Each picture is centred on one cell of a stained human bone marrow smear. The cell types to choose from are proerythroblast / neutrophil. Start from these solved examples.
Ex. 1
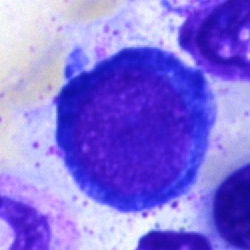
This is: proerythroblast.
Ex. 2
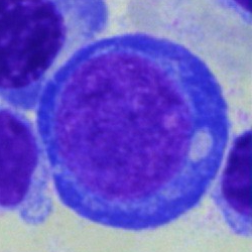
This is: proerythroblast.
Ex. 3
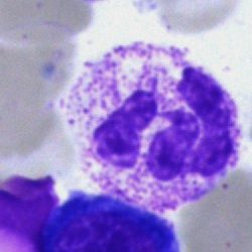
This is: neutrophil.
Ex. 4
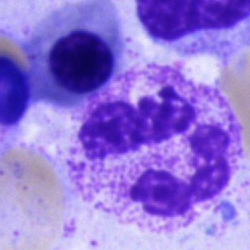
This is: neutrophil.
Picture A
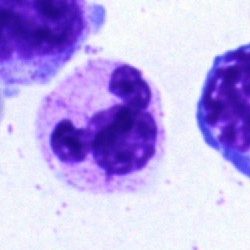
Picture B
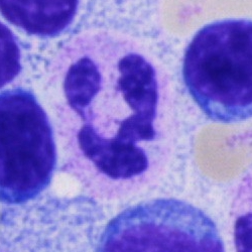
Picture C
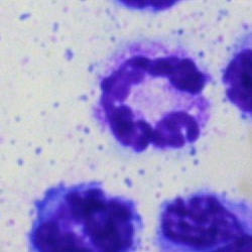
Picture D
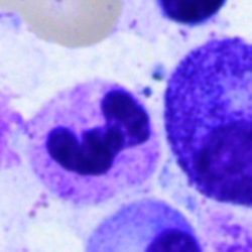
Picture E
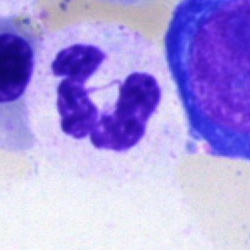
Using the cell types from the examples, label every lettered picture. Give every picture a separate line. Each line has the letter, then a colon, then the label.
A: neutrophil.
B: neutrophil.
C: neutrophil.
D: neutrophil.
E: neutrophil.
